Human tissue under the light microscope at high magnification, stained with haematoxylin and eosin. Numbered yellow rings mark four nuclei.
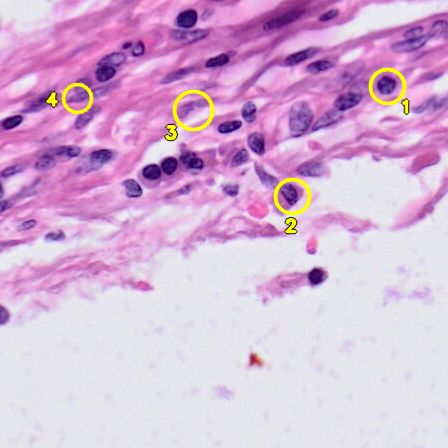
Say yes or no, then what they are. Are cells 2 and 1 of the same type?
Yes, cells 2 and 1 have the same identity; both are plasma cells.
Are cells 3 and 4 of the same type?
Yes, the pair formed by cells 3 and 4 consists of two fibroblasts or myofibroblasts.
